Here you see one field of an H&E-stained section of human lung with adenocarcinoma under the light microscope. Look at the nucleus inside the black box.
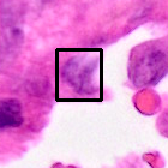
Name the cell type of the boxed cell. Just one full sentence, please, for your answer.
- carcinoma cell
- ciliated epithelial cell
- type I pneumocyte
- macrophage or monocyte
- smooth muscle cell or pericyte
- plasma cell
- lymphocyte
The identity of the boxed cell: it is a carcinoma cell.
